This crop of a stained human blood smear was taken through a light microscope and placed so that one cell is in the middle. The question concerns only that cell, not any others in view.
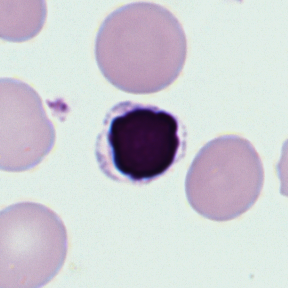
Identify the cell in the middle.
normoblast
